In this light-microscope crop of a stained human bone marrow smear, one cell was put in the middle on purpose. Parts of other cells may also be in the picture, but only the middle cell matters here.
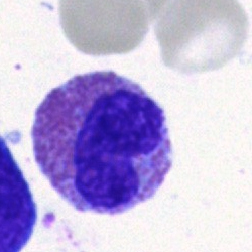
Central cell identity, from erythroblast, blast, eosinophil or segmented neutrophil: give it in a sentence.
The center cell of this crop is an eosinophil.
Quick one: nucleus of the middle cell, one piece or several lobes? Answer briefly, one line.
A single compact nucleus is present, shaped round, oval or like a kidney.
